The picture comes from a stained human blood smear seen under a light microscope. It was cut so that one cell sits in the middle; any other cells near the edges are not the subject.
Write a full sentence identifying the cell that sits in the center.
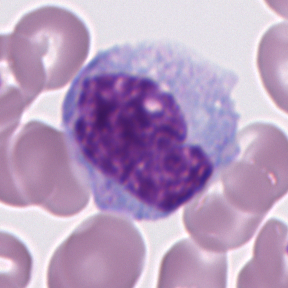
The cell centered in this field of view is a monocyte.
